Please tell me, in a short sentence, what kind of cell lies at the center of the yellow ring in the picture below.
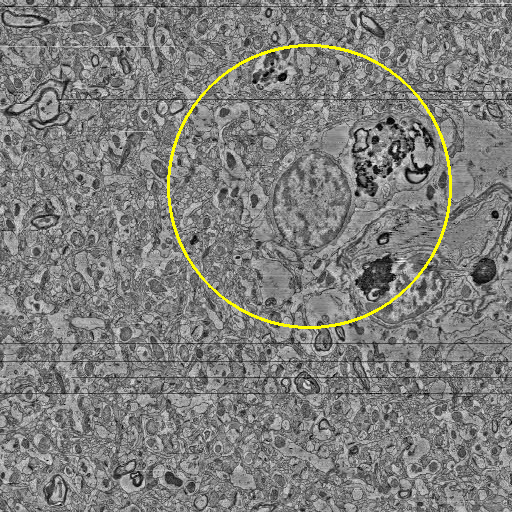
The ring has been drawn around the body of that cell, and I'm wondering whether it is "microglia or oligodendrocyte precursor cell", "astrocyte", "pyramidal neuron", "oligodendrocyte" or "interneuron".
The cell at the center of the ring is an oligodendrocyte.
